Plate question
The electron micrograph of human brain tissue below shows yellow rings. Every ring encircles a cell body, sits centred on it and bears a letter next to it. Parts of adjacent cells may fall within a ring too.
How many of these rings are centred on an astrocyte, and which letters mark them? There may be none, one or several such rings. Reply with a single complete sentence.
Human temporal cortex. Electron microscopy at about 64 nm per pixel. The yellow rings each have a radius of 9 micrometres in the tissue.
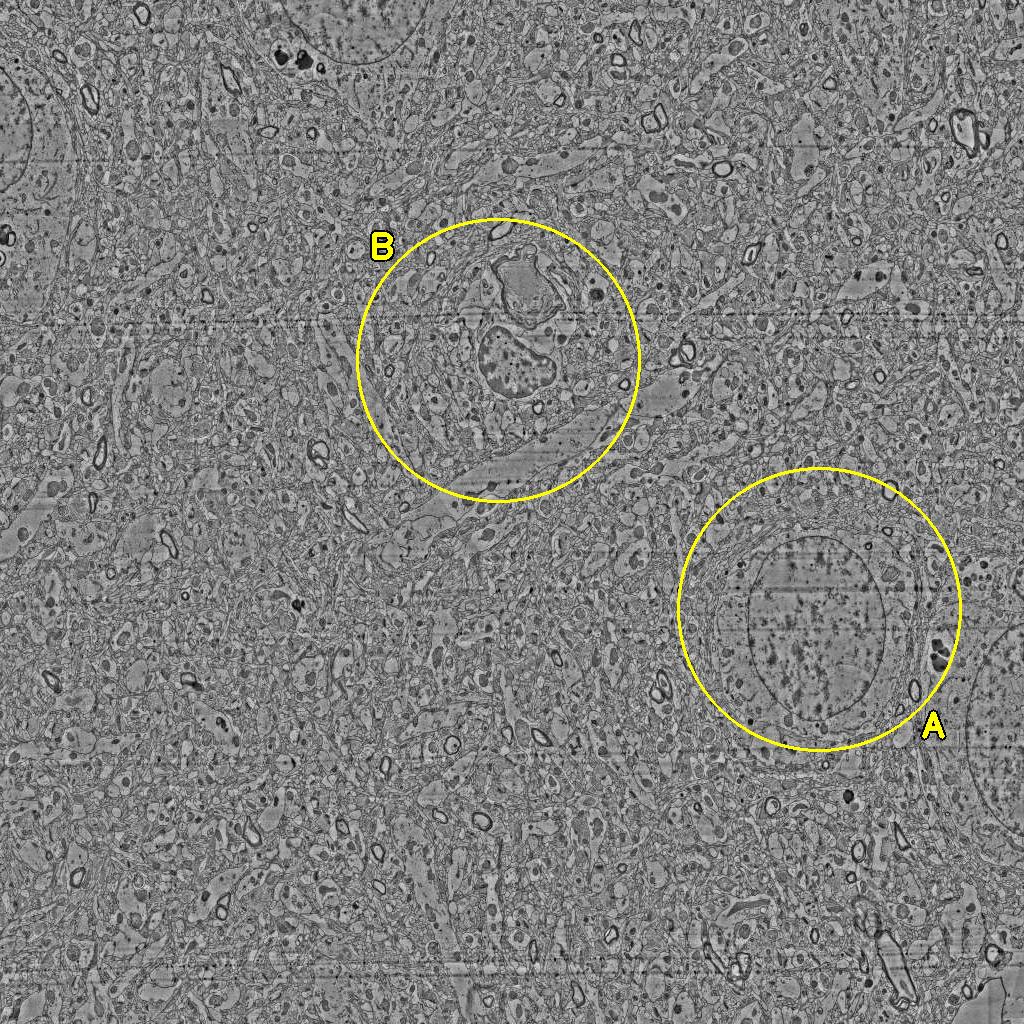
No single ring in the set is centred on an astrocyte, and so the count equals zero.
